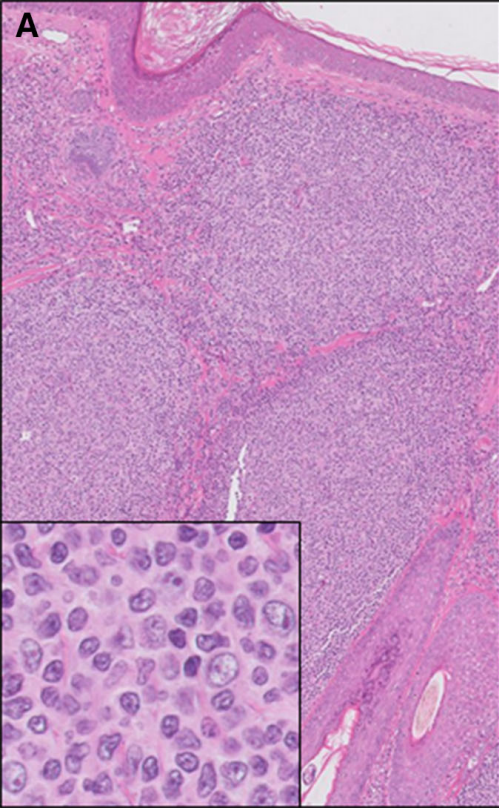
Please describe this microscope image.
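This is skin whose dermis is filled by nodular infiltrates of large centrocytes. The epidermis and a hair follicle lie along the upper edge. Beneath them, dense, rounded nodules of closely packed, purple-blue cells occupy the dermis. They are separated by thin bands of pink collagen, and a second follicle lies at the lower right. At high magnification the infiltrate is made of medium to large lymphoid cells with little cytoplasm. Their nuclei are irregular, angulated and sometimes cleaved, with pale vesicular chromatin and occasional small nucleoli. Scattered smaller cells lie between them.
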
